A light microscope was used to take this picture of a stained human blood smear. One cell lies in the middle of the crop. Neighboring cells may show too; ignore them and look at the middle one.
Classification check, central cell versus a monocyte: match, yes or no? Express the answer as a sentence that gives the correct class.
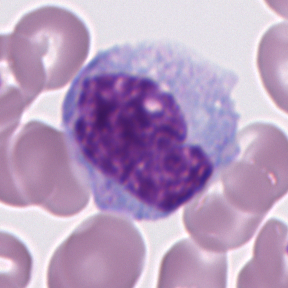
Yes, the cell in the middle is recognised as a monocyte.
